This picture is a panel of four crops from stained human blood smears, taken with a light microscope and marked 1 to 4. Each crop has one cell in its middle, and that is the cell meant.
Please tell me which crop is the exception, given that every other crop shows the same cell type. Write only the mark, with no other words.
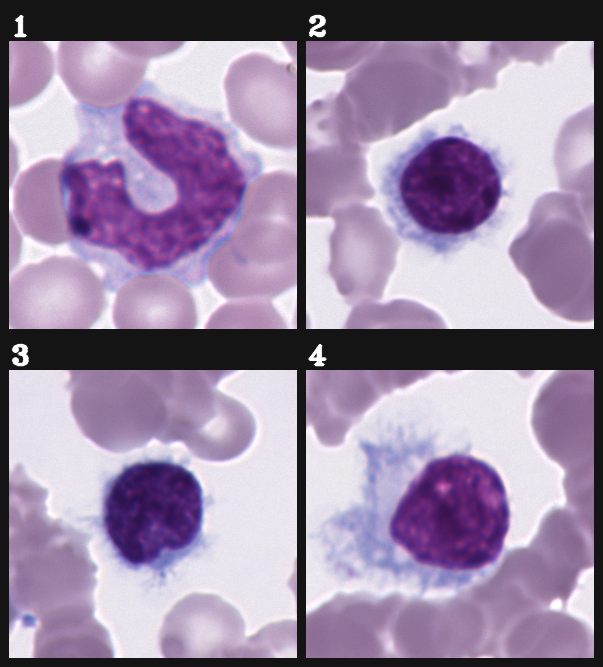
1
